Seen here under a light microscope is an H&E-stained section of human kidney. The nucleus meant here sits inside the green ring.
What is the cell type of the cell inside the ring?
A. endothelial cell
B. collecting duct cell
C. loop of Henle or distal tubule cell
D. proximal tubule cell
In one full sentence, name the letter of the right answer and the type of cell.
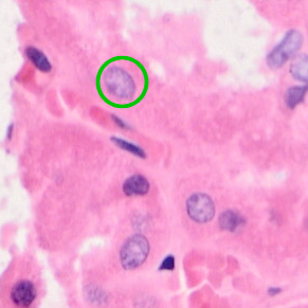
The accurate option is D, with the cell inside the ring being a proximal tubule cell.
